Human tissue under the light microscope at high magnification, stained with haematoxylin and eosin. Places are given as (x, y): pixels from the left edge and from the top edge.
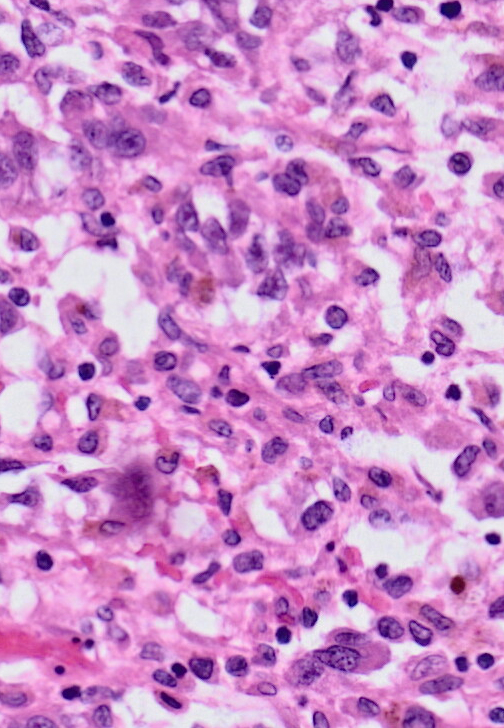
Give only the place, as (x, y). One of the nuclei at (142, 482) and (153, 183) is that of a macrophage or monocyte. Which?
(153, 183)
